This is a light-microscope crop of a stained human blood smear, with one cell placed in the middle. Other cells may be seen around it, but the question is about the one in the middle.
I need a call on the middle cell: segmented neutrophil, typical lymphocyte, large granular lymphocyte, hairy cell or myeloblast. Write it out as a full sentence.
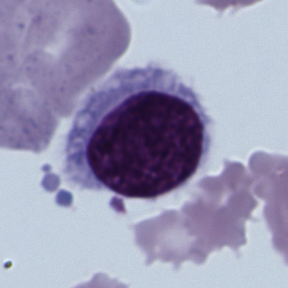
Positioned in the middle of the crop is a hairy cell.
